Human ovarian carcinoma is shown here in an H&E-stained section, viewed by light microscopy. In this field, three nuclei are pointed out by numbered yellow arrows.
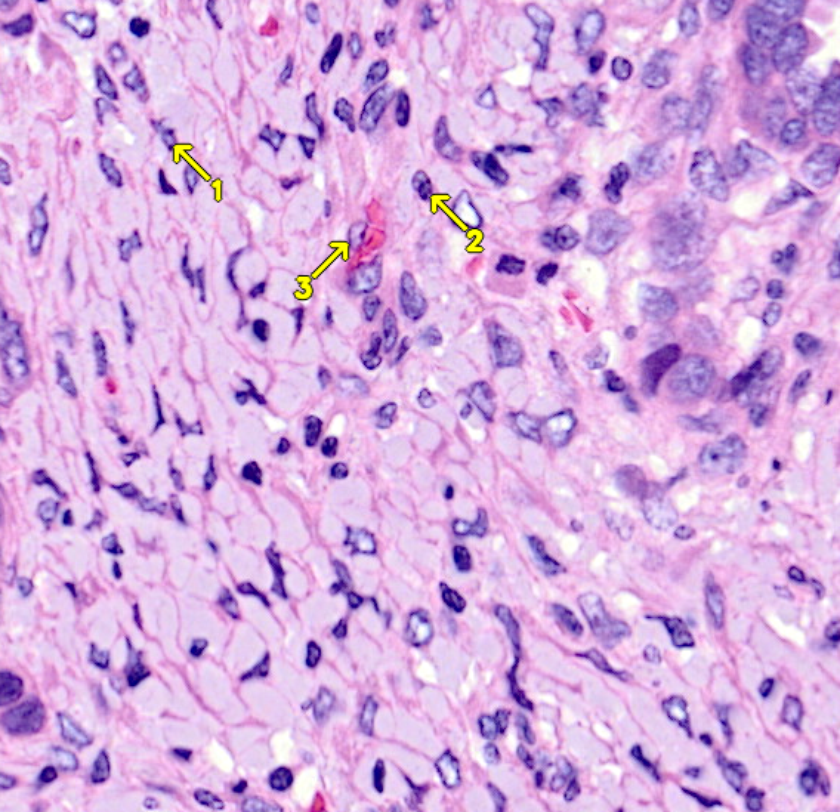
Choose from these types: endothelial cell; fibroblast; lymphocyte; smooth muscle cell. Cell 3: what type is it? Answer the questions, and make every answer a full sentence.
The cell marked with number 3 is an endothelial cell.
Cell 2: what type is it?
The cell pointed out as number 2 is a lymphocyte.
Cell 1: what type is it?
Cell 1 in the field is a fibroblast.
